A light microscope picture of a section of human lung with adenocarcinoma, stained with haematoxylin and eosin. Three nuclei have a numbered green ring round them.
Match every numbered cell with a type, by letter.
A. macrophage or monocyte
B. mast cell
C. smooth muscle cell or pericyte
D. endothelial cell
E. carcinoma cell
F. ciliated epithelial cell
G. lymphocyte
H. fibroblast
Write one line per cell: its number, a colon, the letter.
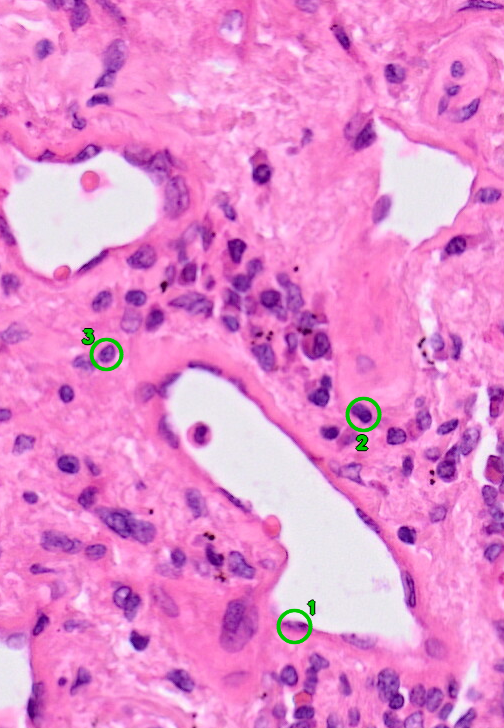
1: D
2: G
3: G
